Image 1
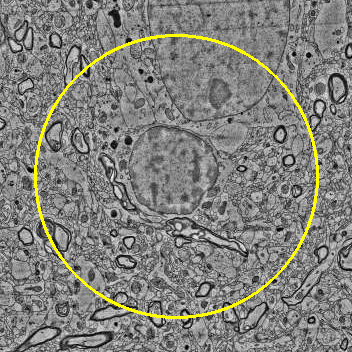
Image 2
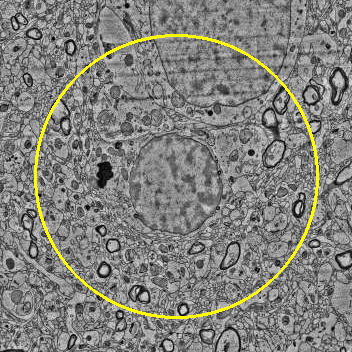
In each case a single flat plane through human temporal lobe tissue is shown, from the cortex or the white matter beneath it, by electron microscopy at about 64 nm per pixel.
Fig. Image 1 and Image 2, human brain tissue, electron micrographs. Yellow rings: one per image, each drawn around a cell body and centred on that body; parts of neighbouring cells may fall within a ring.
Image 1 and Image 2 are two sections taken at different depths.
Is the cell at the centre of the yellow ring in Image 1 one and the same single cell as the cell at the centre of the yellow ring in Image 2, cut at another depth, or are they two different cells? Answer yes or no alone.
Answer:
yes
